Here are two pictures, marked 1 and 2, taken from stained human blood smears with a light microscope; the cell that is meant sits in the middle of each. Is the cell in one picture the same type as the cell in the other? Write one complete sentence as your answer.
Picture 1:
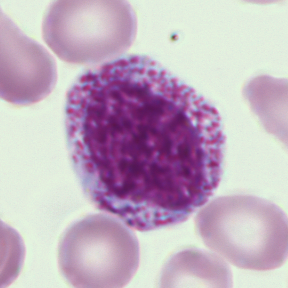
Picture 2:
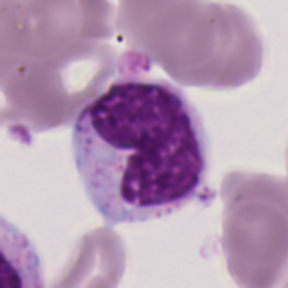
No; the cell in picture 1 is a myelocyte, while the one in picture 2 is a metamyelocyte.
